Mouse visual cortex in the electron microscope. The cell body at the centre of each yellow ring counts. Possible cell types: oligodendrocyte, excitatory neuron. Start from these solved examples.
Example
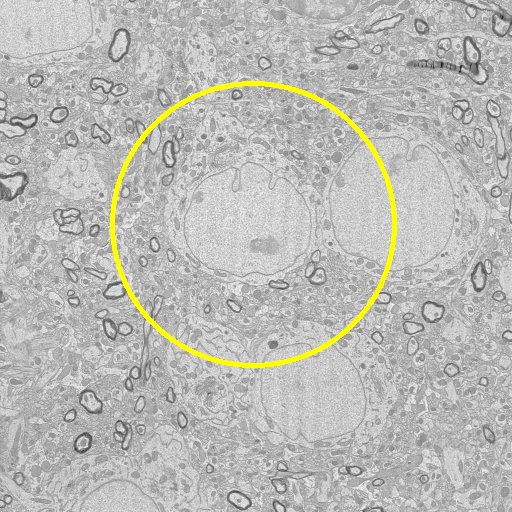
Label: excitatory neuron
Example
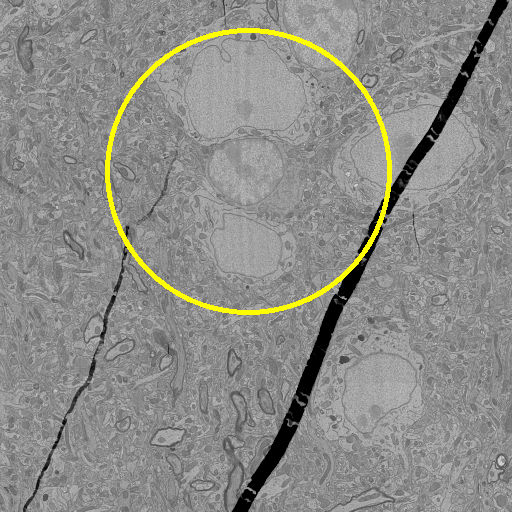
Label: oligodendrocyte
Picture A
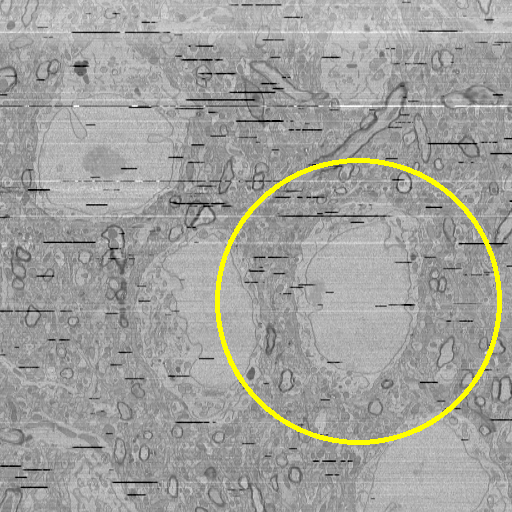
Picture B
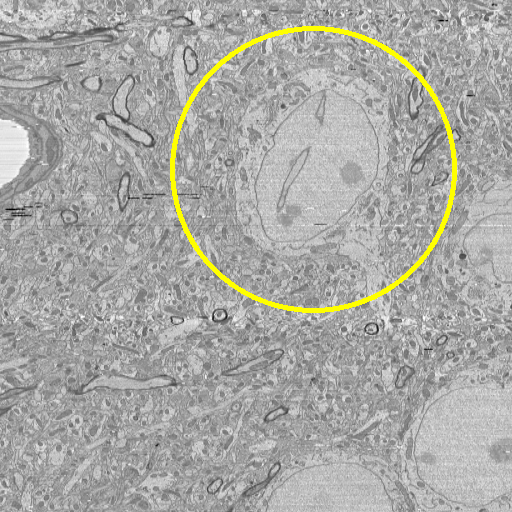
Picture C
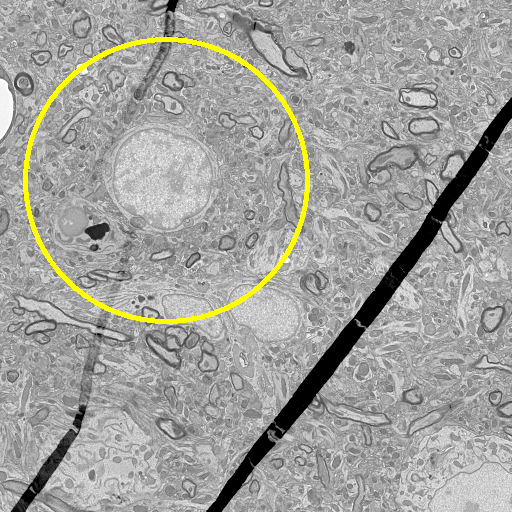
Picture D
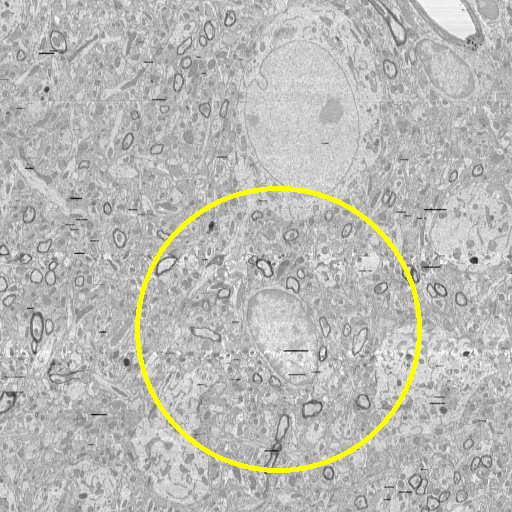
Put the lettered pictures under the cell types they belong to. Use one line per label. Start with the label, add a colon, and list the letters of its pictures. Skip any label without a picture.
oligodendrocyte: C, D
excitatory neuron: A, B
